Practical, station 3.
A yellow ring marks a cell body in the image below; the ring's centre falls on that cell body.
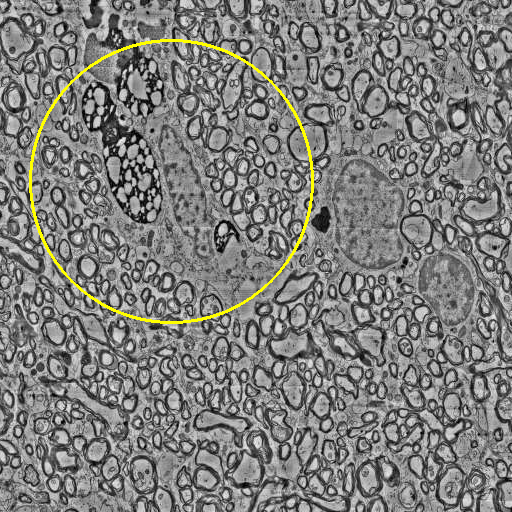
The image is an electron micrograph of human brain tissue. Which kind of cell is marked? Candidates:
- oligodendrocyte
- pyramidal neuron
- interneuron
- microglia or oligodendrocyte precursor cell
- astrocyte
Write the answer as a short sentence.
The marked cell body is that of an astrocyte.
